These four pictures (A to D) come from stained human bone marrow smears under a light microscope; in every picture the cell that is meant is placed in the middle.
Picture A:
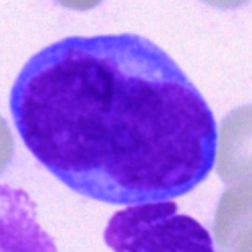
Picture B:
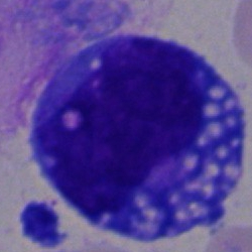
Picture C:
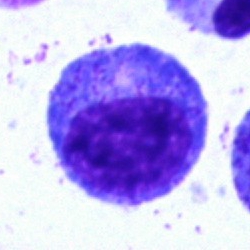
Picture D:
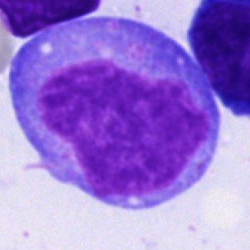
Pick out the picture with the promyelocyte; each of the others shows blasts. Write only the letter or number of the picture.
C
